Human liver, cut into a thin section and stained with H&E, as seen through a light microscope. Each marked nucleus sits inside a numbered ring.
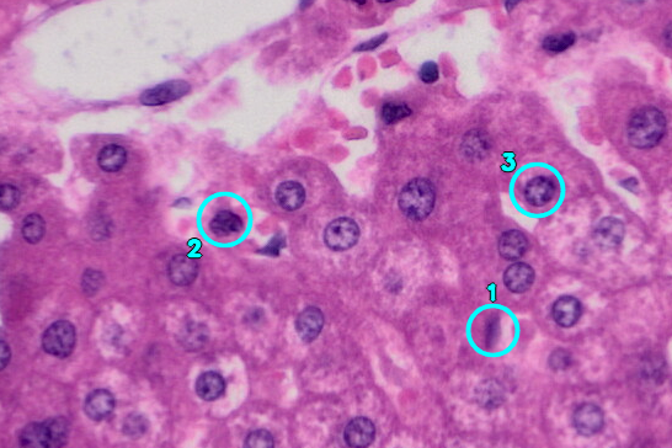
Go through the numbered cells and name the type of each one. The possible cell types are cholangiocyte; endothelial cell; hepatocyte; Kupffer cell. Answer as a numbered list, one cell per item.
1. endothelial cell
2. Kupffer cell
3. hepatocyte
